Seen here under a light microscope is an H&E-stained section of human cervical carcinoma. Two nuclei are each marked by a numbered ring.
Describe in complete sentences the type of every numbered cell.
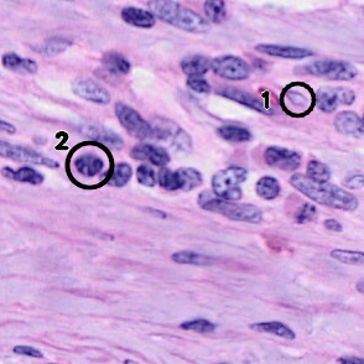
Cell 1 is an endothelial cell and cell 2 is a lymphocyte.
